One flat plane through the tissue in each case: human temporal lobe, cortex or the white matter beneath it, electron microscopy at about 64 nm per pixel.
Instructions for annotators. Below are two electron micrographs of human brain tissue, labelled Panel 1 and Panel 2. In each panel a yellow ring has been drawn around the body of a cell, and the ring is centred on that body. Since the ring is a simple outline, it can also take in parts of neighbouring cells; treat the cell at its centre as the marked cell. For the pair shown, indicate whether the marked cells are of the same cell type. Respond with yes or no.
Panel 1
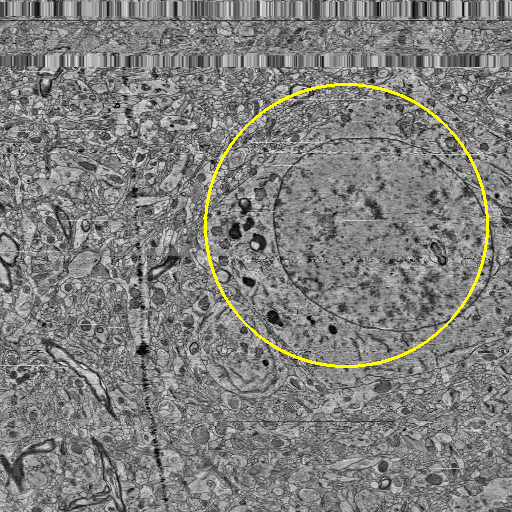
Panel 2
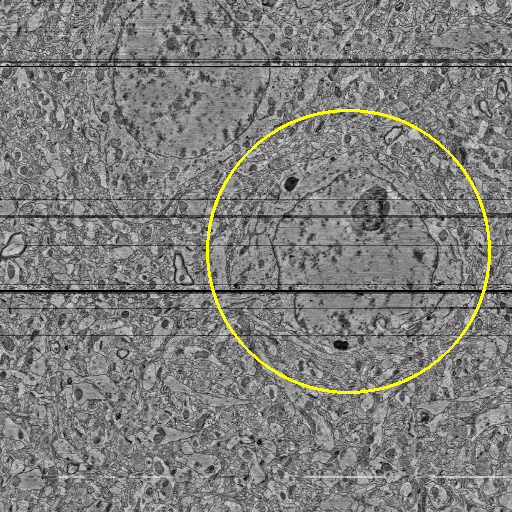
yes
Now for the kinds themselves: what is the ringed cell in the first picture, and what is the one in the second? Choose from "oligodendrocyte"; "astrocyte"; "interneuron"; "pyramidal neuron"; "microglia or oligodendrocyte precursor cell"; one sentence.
In the first picture and in the second, the ring is centred on a pyramidal neuron.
